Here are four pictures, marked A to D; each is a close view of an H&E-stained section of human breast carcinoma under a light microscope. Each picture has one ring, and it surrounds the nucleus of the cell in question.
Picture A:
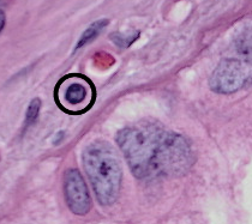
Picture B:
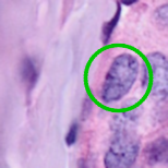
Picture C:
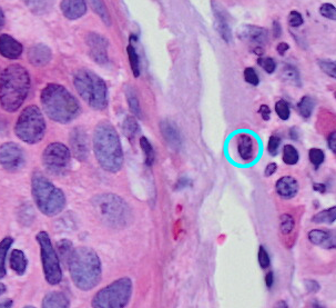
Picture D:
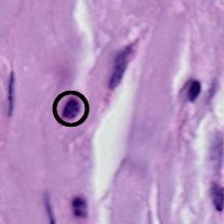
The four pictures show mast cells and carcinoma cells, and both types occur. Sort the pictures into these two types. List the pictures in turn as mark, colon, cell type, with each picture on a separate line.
A: mast cell
B: carcinoma cell
C: mast cell
D: mast cell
